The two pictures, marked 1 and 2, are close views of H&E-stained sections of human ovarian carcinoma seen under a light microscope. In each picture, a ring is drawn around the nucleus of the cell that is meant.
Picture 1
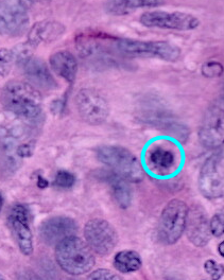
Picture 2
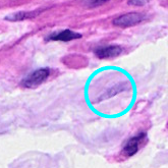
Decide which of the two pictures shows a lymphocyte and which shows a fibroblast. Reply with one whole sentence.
Picture 2 shows a fibroblast, while picture 1 shows a lymphocyte.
